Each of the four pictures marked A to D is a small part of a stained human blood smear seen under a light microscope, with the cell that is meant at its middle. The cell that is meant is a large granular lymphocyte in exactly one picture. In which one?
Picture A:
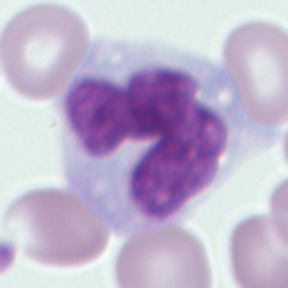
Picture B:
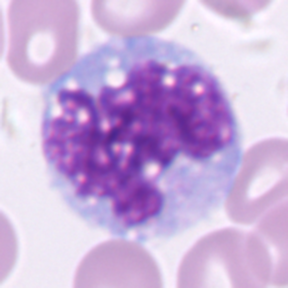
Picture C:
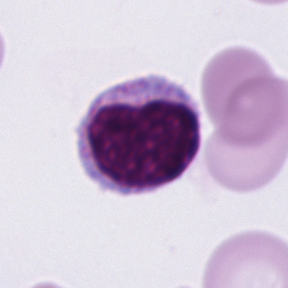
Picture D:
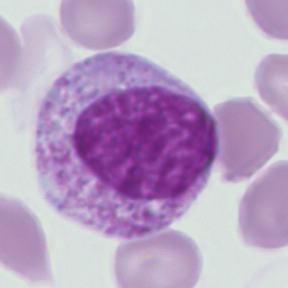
C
